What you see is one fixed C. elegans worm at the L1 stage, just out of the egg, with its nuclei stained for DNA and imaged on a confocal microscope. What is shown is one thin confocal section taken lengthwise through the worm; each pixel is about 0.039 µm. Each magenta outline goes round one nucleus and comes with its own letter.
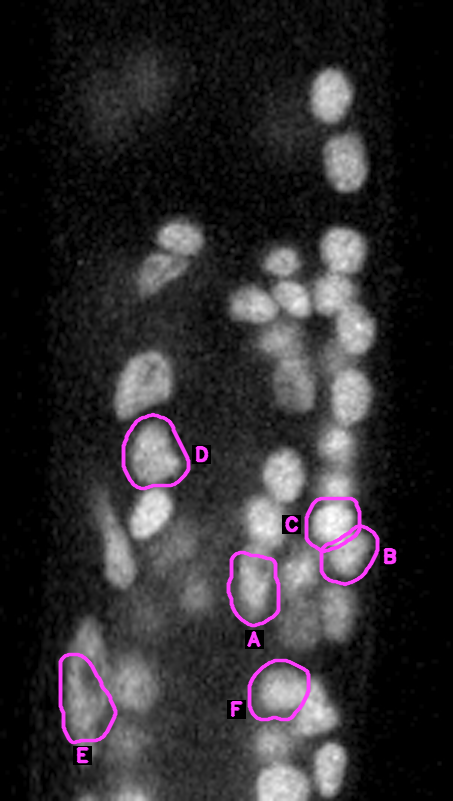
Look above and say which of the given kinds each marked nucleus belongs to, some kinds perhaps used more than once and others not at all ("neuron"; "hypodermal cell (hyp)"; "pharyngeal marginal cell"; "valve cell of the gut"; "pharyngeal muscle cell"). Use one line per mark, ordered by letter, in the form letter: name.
A: pharyngeal marginal cell
B: neuron
C: neuron
D: pharyngeal muscle cell
E: hypodermal cell (hyp)
F: neuron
